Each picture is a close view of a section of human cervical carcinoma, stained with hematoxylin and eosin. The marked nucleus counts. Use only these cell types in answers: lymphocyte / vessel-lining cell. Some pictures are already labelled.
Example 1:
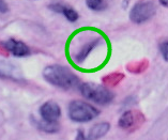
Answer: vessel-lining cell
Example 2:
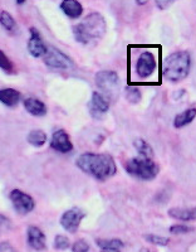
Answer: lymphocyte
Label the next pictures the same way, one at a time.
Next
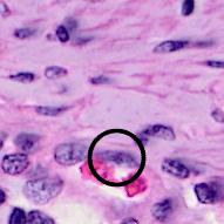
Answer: vessel-lining cell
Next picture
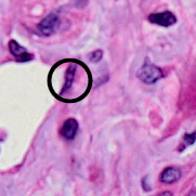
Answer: vessel-lining cell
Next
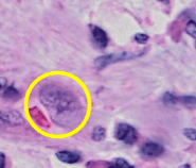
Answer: vessel-lining cell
